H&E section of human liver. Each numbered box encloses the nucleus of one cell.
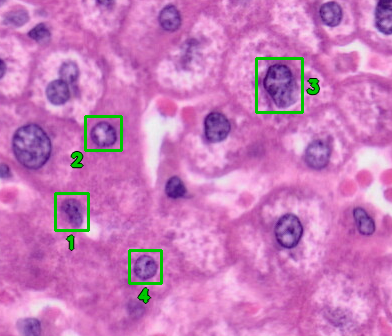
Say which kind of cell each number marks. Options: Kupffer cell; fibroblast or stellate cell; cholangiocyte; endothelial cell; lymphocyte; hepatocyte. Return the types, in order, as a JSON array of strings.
["endothelial cell", "hepatocyte", "hepatocyte", "hepatocyte"]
